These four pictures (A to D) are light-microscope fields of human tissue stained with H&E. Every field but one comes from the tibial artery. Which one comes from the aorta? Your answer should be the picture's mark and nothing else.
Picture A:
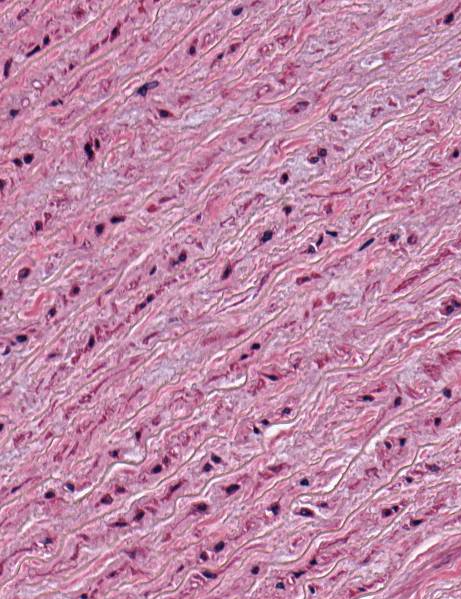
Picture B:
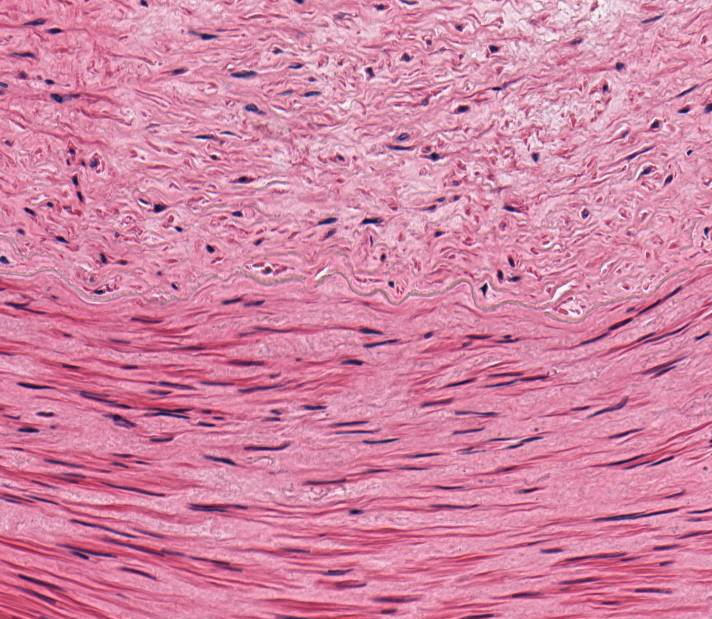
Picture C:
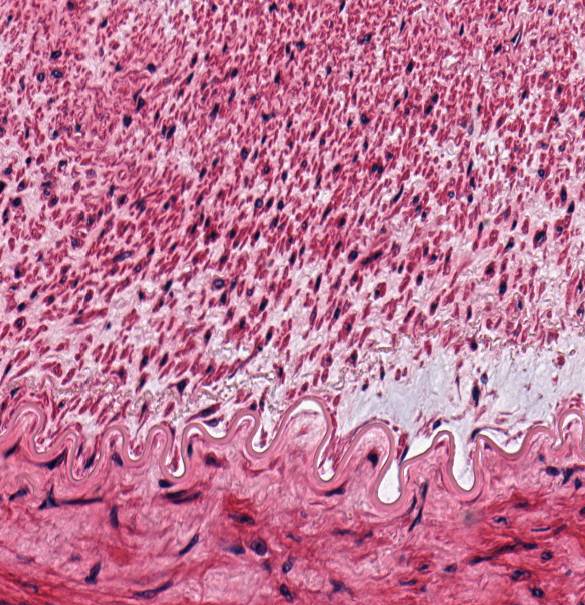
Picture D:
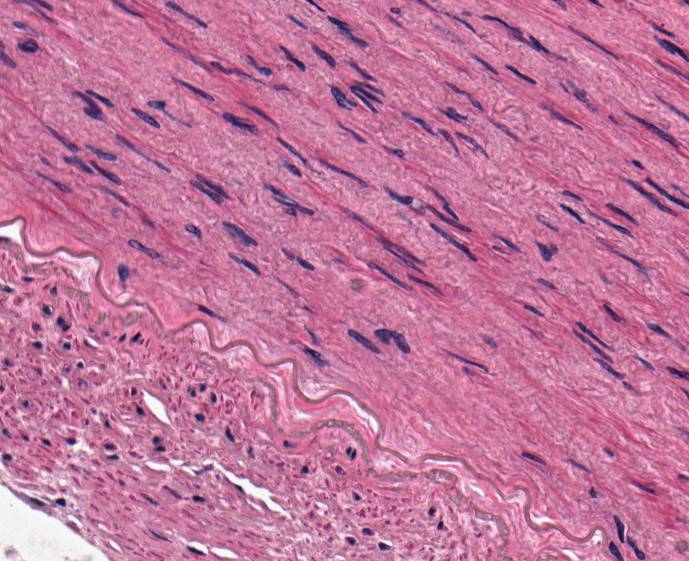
A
